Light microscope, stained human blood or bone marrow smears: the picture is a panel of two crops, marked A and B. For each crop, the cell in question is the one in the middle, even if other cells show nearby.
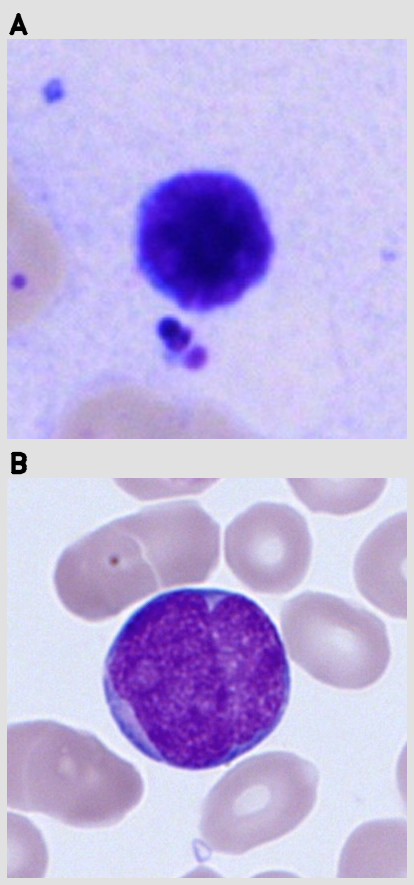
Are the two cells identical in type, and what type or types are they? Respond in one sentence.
No, crop A carries a lymphocyte and crop B carries a blast.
